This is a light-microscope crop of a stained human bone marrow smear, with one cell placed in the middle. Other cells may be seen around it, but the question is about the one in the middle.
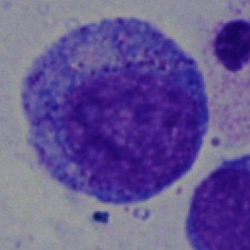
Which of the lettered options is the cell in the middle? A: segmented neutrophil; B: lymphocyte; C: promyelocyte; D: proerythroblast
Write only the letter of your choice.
C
